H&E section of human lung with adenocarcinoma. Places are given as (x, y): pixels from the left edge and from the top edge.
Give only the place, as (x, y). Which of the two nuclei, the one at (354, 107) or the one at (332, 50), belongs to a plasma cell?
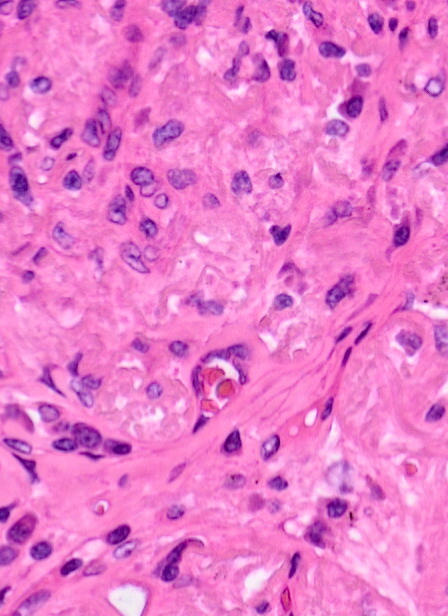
(354, 107)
